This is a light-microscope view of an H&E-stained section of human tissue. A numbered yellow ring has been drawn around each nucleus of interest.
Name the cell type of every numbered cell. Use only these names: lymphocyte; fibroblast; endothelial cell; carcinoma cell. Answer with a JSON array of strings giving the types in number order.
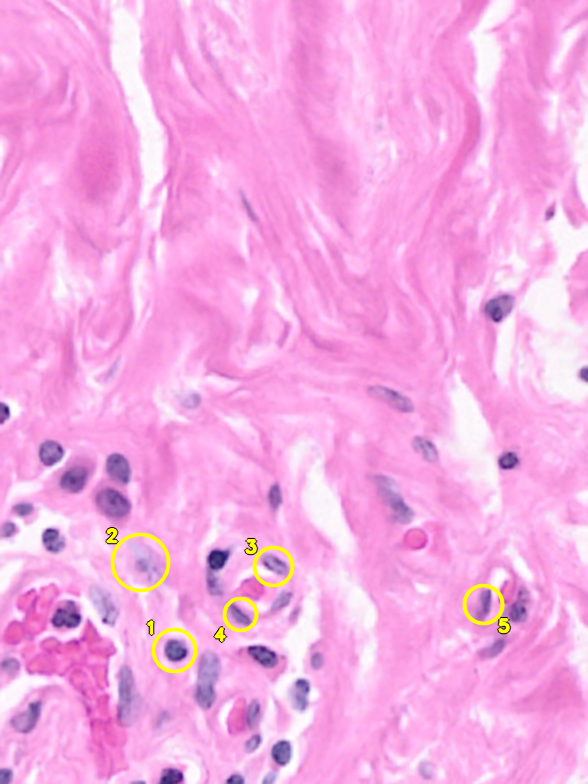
["lymphocyte", "fibroblast", "endothelial cell", "endothelial cell", "endothelial cell"]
